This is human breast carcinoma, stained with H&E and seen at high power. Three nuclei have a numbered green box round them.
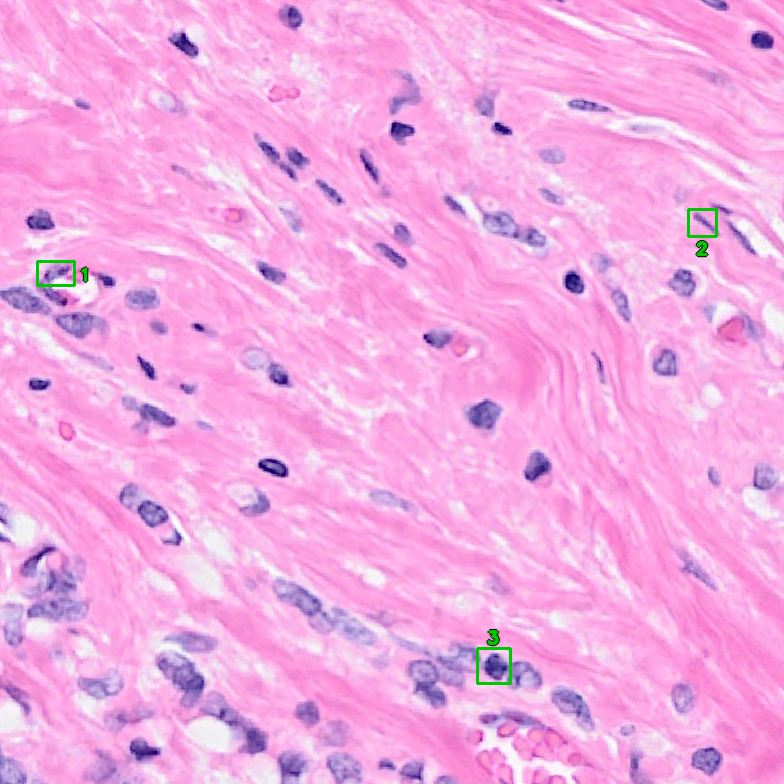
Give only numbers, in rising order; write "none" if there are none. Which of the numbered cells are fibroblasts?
2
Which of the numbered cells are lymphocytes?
3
